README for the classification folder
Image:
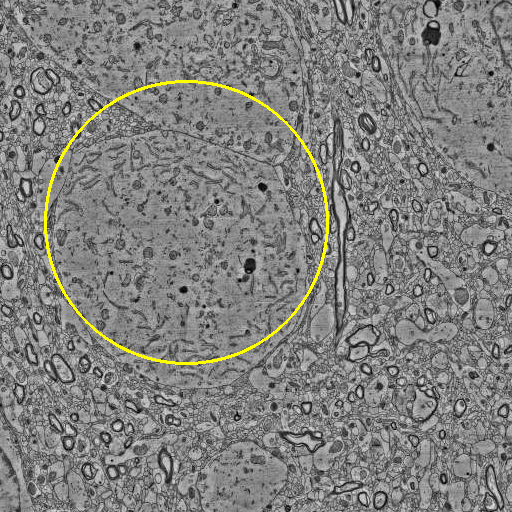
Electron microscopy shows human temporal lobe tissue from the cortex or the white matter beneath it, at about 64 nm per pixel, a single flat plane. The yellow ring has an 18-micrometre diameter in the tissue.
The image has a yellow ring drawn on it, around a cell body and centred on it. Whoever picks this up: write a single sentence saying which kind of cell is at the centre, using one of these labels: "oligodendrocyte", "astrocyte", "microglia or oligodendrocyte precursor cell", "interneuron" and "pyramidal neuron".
This cell body is that of a pyramidal neuron.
